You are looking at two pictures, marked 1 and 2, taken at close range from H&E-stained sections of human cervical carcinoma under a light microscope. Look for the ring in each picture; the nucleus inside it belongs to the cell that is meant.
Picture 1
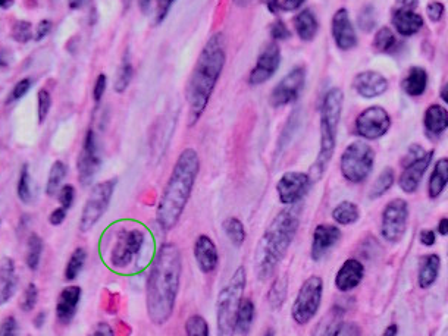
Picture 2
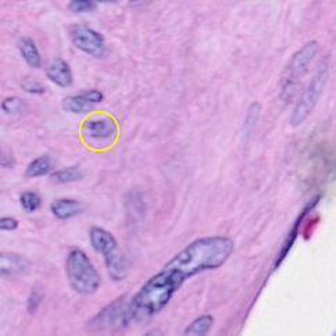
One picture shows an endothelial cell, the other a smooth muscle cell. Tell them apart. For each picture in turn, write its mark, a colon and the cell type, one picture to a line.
1: endothelial cell
2: smooth muscle cell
